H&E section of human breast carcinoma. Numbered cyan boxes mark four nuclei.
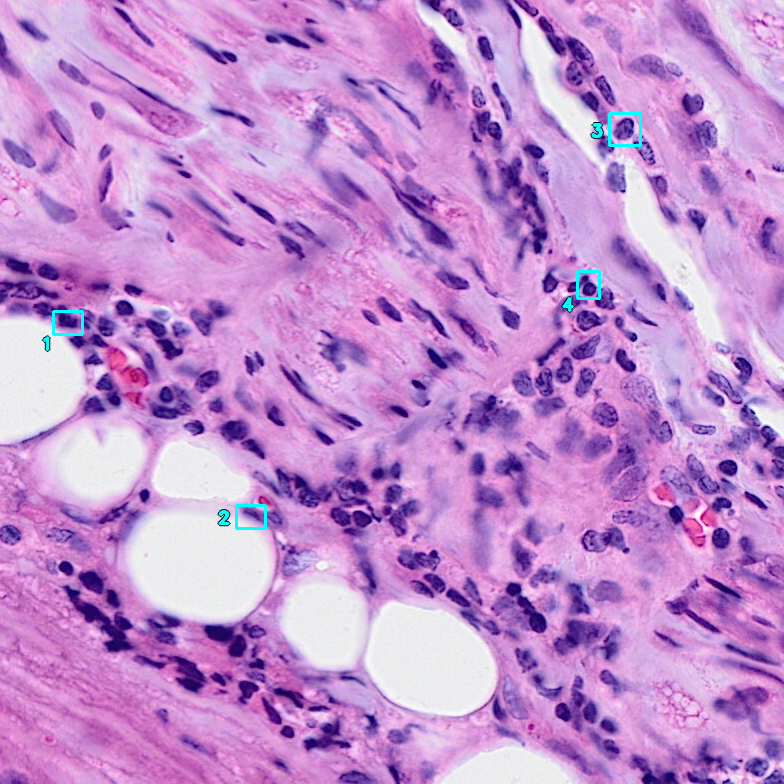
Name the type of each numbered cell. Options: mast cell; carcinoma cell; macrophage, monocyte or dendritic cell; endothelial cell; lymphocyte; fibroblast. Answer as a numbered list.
1. lymphocyte
2. endothelial cell
3. lymphocyte
4. lymphocyte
